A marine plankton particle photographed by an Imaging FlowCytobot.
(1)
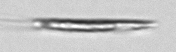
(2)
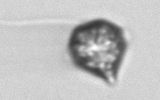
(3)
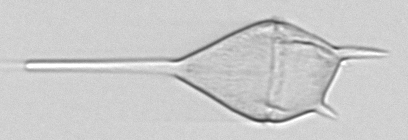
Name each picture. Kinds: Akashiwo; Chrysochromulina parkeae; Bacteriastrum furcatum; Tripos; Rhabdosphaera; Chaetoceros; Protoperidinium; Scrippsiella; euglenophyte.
Picture 1: euglenophyte
Picture 2: Scrippsiella
Picture 3: Tripos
